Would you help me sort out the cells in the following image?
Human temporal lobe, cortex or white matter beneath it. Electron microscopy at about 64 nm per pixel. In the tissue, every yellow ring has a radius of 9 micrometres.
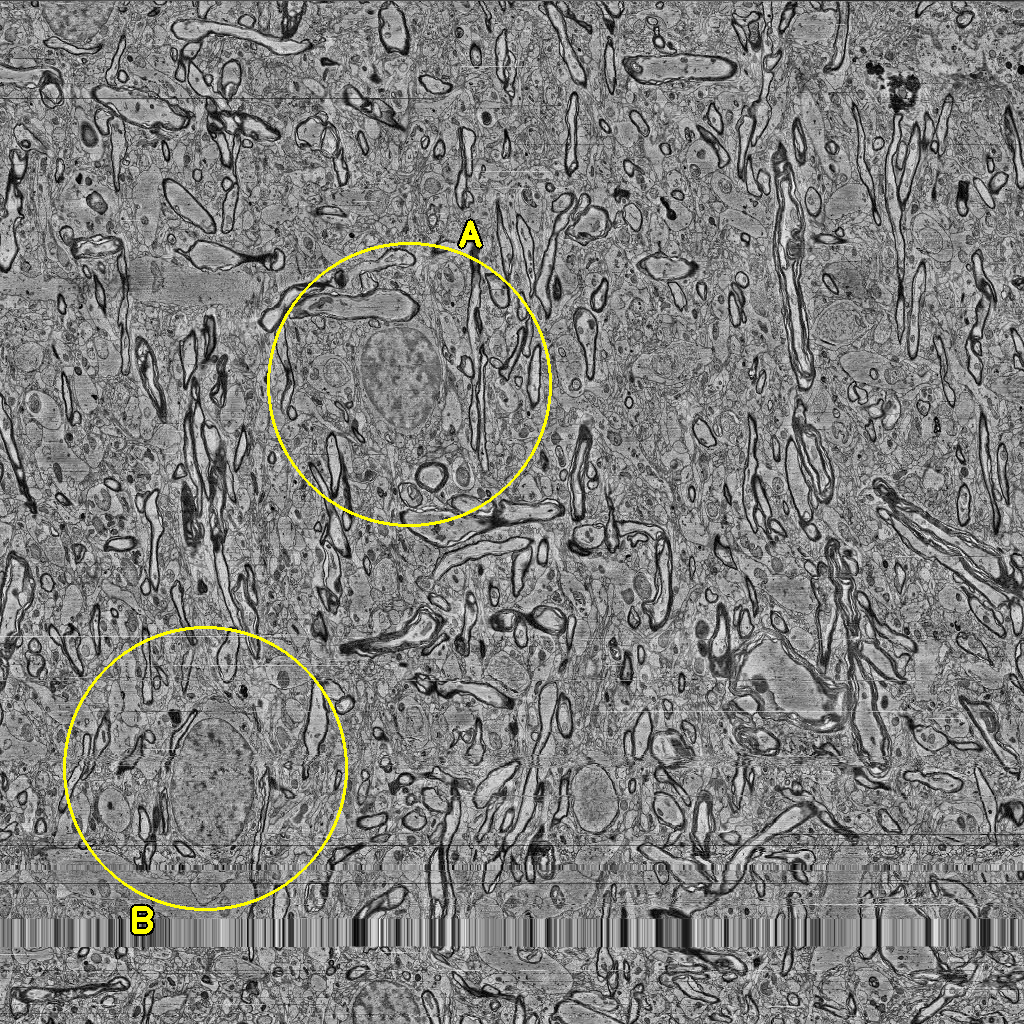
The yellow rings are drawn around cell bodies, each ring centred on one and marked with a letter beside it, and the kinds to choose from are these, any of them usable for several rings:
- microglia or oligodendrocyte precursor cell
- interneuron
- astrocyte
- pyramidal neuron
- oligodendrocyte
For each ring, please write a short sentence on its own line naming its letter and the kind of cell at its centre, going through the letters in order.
Ring A is centred on the cell body of an oligodendrocyte.
Ring B is centred on the cell body of a microglial cell or oligodendrocyte precursor cell.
